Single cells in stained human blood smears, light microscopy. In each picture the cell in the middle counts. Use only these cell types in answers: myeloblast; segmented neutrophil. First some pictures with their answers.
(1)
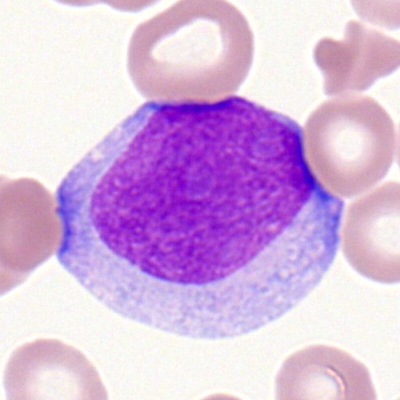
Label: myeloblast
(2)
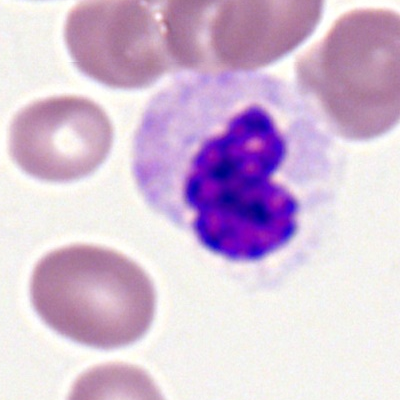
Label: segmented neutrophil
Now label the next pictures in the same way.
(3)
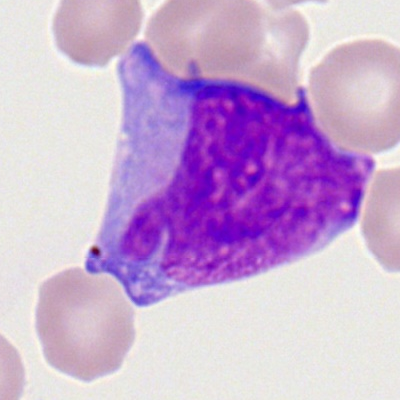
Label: myeloblast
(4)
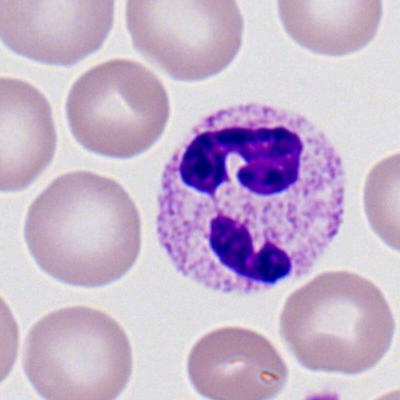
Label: segmented neutrophil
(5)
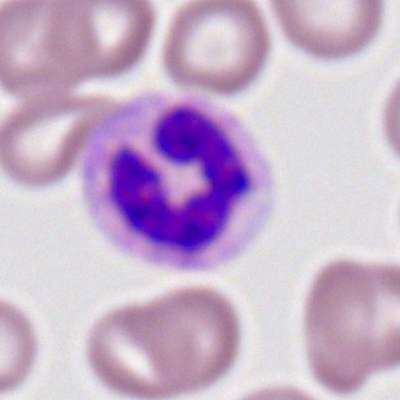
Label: segmented neutrophil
